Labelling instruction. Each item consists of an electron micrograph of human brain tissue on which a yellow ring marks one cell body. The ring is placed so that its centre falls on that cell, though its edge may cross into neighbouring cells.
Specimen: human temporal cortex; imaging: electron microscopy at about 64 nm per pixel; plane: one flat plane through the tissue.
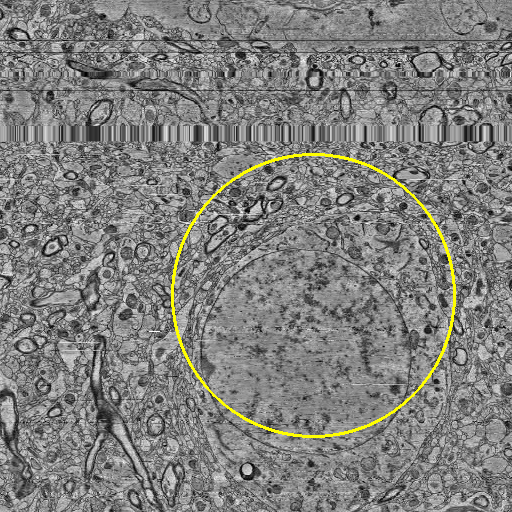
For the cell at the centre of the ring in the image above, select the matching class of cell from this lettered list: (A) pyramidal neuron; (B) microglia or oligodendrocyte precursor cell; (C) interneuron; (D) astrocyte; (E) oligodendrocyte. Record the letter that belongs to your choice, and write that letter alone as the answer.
A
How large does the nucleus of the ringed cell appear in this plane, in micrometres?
In this plane, roughly 14 micrometres across.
